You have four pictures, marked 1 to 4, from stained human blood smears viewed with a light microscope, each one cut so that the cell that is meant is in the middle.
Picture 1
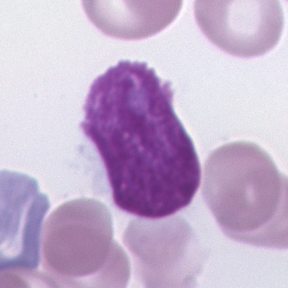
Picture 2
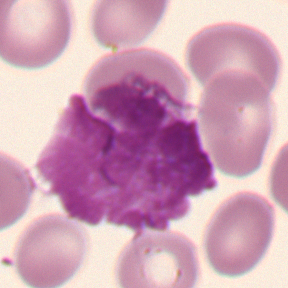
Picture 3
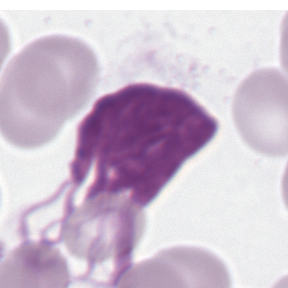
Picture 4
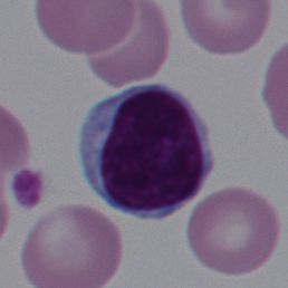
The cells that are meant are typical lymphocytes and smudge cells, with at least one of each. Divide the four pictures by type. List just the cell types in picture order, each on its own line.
smudge cell
smudge cell
smudge cell
typical lymphocyte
